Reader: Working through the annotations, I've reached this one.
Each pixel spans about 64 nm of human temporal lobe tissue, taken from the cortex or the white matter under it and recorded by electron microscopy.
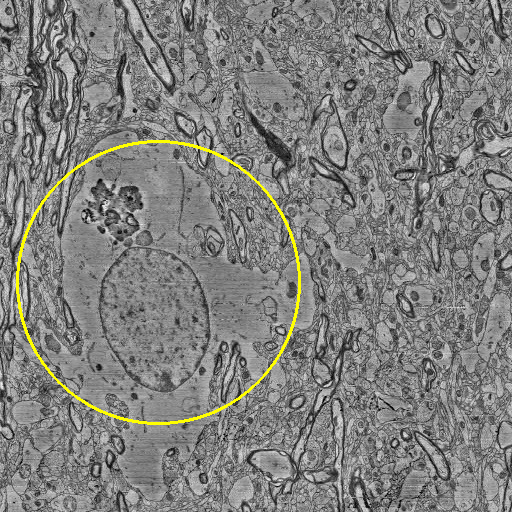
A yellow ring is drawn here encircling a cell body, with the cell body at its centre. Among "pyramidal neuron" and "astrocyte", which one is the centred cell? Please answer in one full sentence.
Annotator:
The cell body at the centre of the yellow ring in this image belongs to an astrocyte.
